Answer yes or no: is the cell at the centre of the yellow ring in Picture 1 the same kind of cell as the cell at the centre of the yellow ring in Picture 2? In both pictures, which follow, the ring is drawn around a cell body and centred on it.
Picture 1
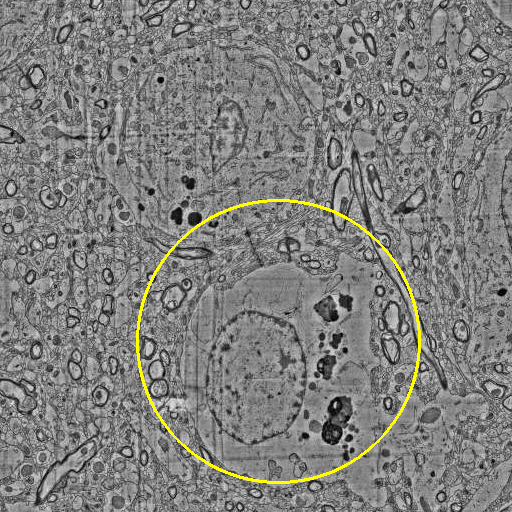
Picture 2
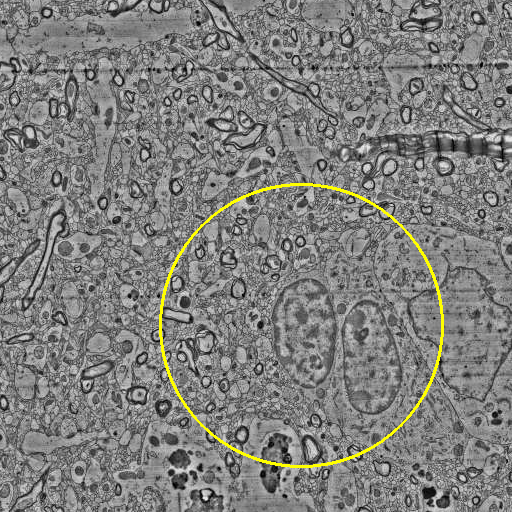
no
